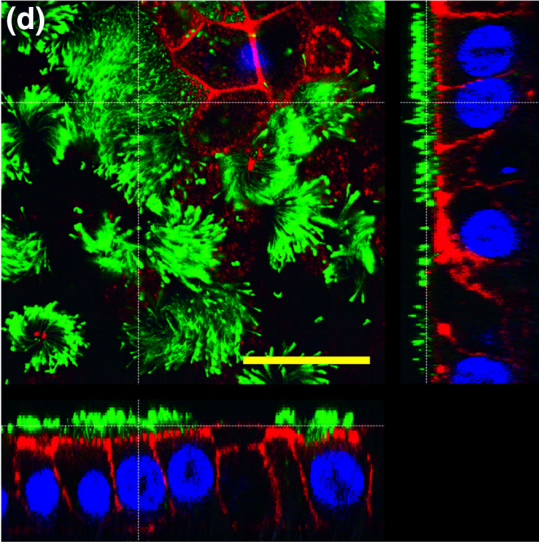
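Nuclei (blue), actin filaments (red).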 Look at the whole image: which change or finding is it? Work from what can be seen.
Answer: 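In the side views the cells are taller than they are wide. Cells stand side by side in a single row. That points to this answer: columnar.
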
